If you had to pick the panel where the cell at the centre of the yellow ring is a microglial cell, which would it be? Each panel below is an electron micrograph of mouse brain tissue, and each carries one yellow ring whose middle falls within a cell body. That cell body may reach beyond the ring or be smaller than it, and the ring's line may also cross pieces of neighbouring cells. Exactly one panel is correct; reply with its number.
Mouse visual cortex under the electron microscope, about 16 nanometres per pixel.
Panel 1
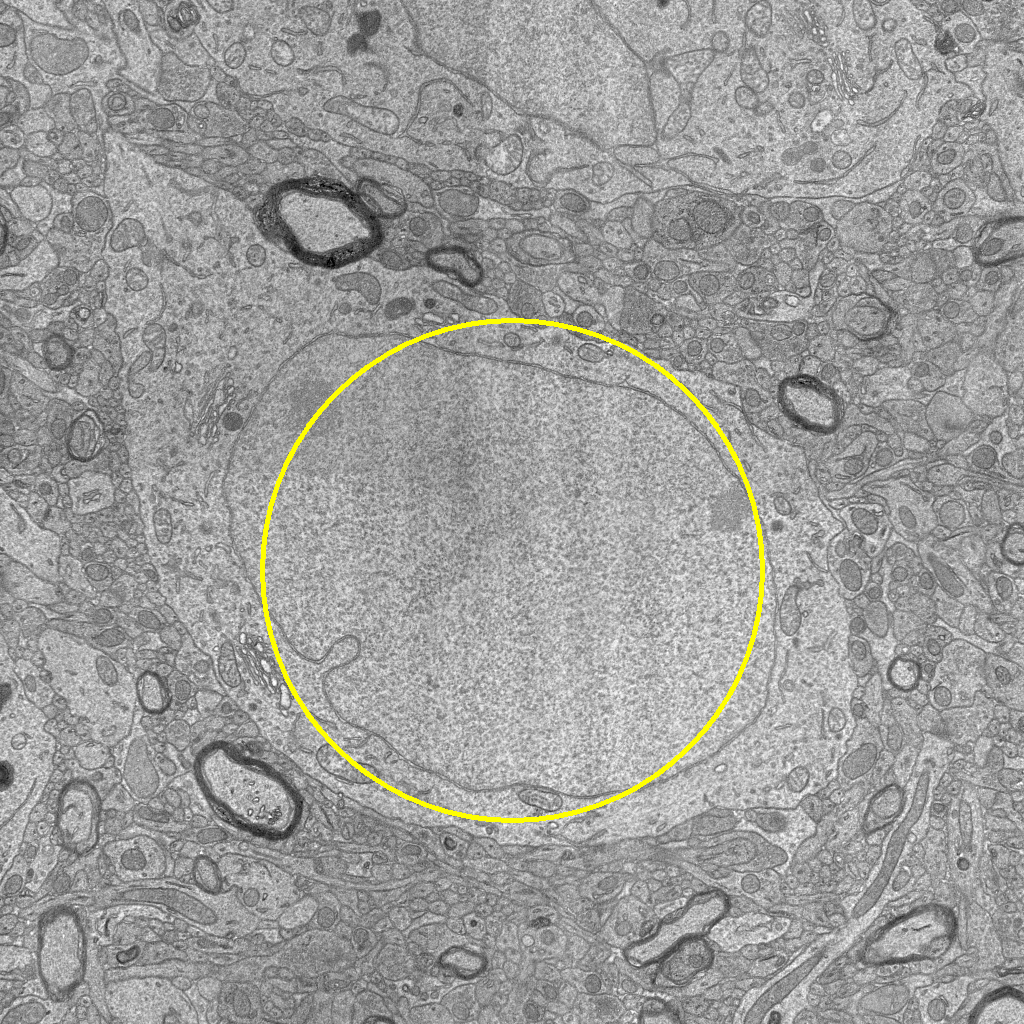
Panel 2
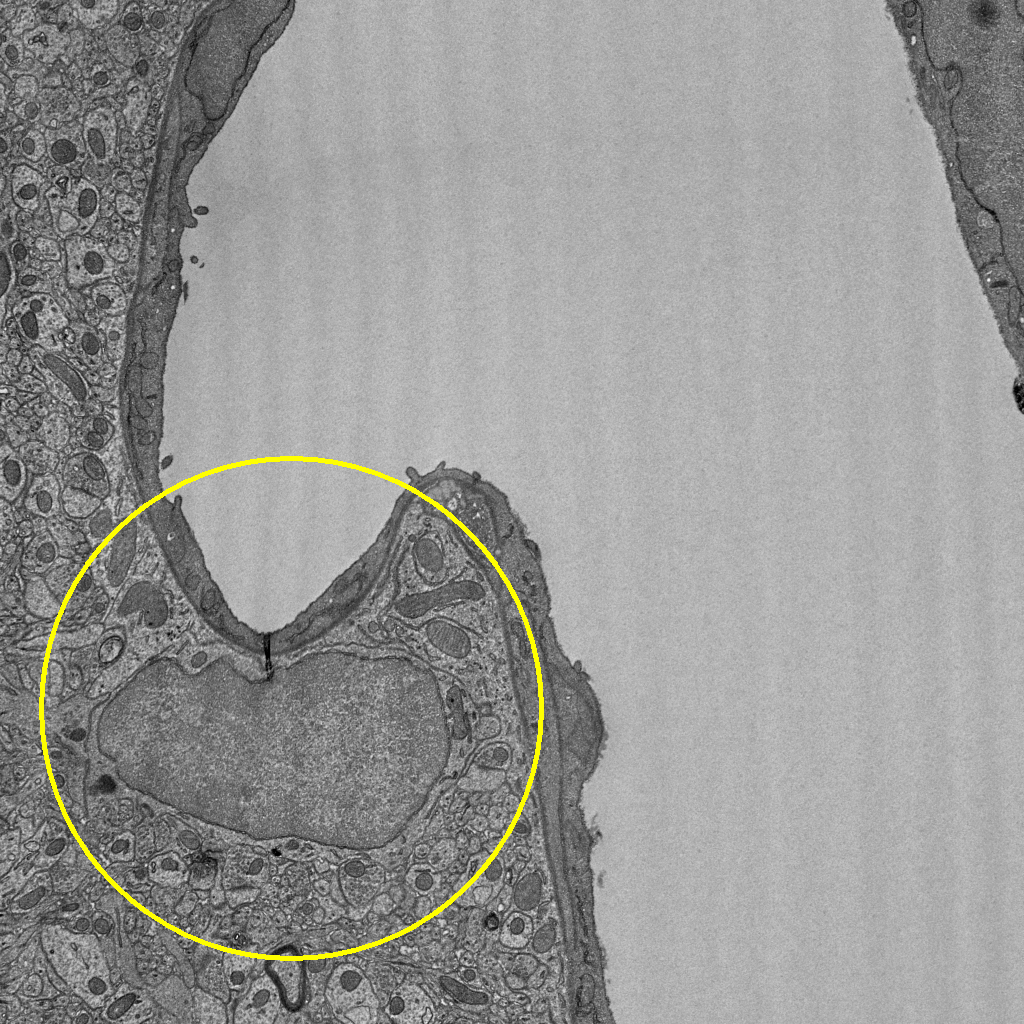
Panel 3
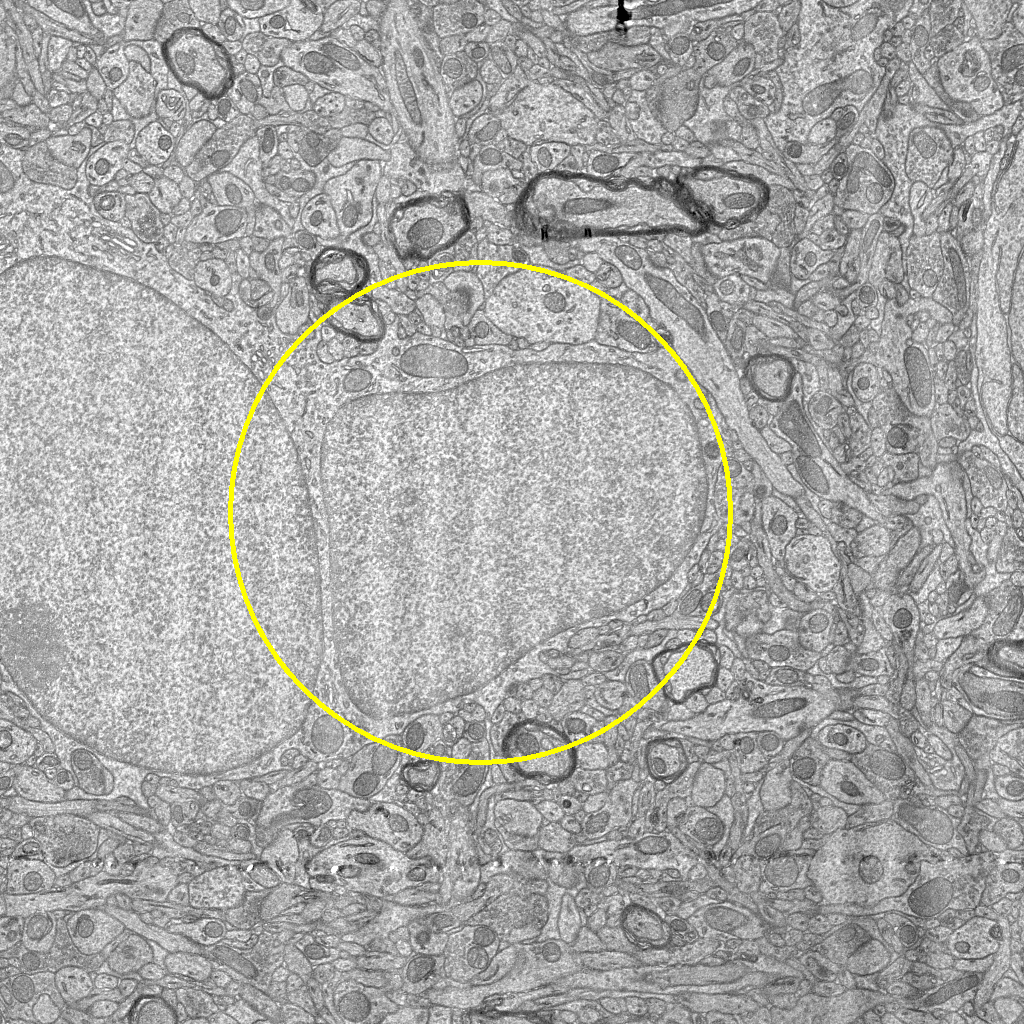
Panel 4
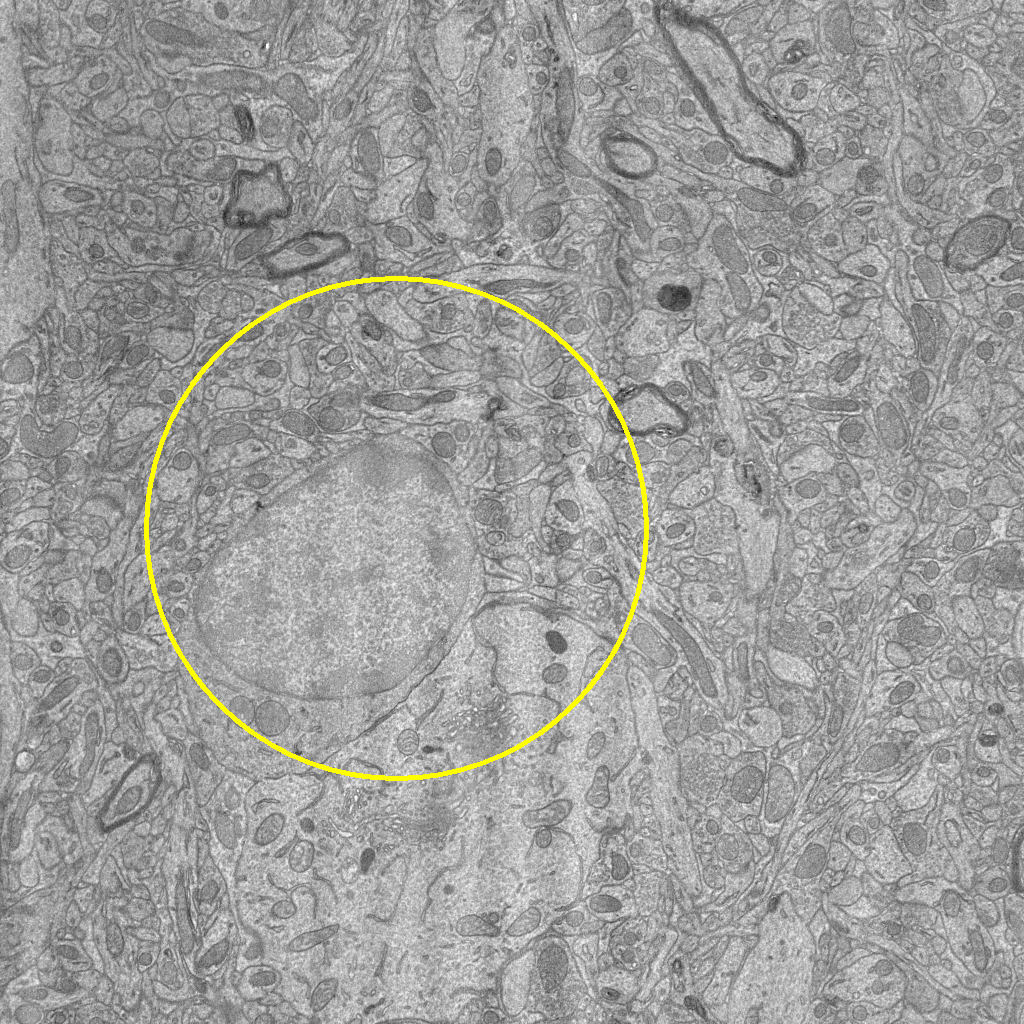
2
